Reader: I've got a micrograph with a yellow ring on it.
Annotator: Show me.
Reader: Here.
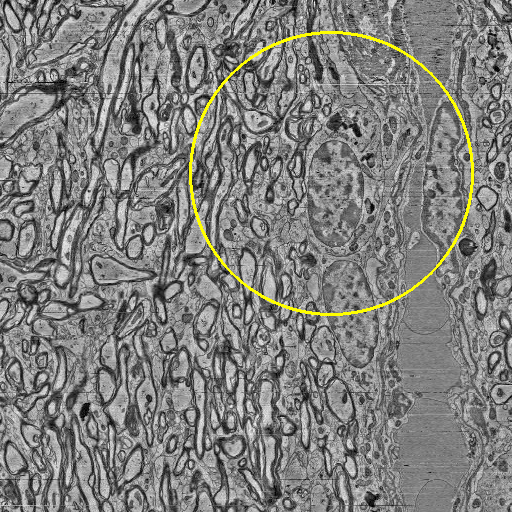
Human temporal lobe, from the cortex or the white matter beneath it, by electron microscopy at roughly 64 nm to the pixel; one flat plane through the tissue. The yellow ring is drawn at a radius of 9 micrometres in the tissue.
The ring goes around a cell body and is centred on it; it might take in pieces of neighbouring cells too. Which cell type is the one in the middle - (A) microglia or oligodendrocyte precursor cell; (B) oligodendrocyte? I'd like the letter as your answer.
A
